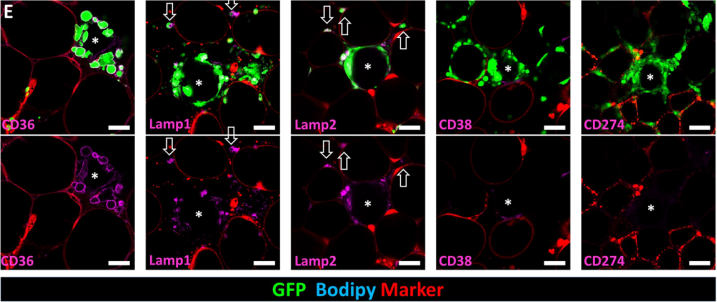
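These tiles show fat tissue as a mesh of large round adipocytes, each seen only as a thin red rim around an empty interior. Some tiles show magenta dots within the cells of the crown, and in others small magenta dots lie between neighbouring adipocytes away from the crown, where the arrows point.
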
